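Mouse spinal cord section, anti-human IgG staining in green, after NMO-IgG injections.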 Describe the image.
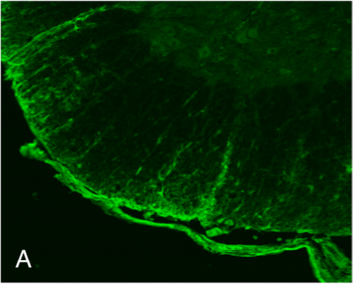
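A thin bright surface membrane covers the rounded edge, with loose, partly detached layers lying outside it. Green label fills the outer band of tissue diffusely and continues inward along radially running strands and fine reticular profiles. Deeper tissue is more weakly and evenly labelled.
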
